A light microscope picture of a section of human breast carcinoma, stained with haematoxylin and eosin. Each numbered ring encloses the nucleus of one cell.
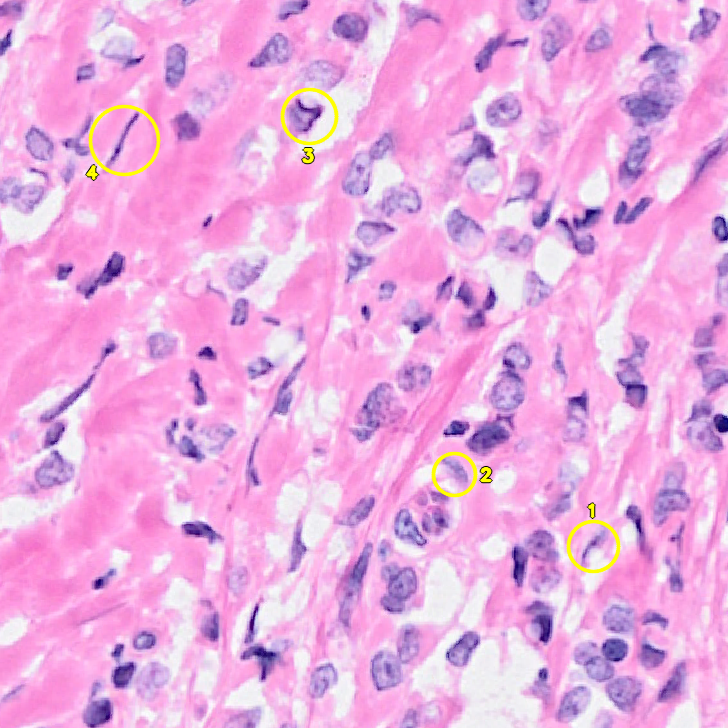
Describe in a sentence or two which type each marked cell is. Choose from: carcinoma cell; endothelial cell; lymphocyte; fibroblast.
Cells 1 and 4 are fibroblasts. Cell 2 is an endothelial cell. Cell 3 is a carcinoma cell.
